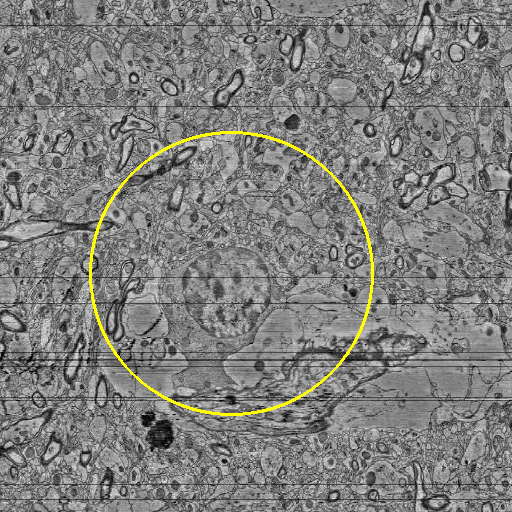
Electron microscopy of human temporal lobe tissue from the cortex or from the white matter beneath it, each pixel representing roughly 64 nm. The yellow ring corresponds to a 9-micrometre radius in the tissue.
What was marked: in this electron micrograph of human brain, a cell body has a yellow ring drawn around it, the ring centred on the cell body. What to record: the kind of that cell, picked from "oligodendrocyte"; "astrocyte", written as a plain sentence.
The centred cell is an oligodendrocyte.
